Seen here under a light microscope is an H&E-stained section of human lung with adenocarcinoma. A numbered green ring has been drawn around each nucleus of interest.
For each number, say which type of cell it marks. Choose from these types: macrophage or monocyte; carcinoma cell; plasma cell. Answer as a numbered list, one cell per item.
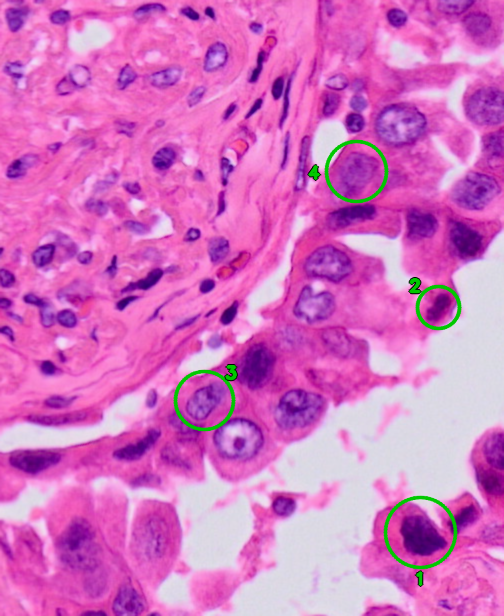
1. carcinoma cell
2. macrophage or monocyte
3. carcinoma cell
4. carcinoma cell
